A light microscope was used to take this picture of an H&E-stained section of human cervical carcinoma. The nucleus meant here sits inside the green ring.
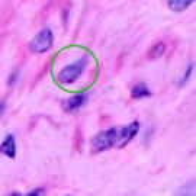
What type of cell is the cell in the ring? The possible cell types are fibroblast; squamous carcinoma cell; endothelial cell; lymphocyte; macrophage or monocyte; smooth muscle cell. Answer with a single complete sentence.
The cell in the ring appears to be a smooth muscle cell.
